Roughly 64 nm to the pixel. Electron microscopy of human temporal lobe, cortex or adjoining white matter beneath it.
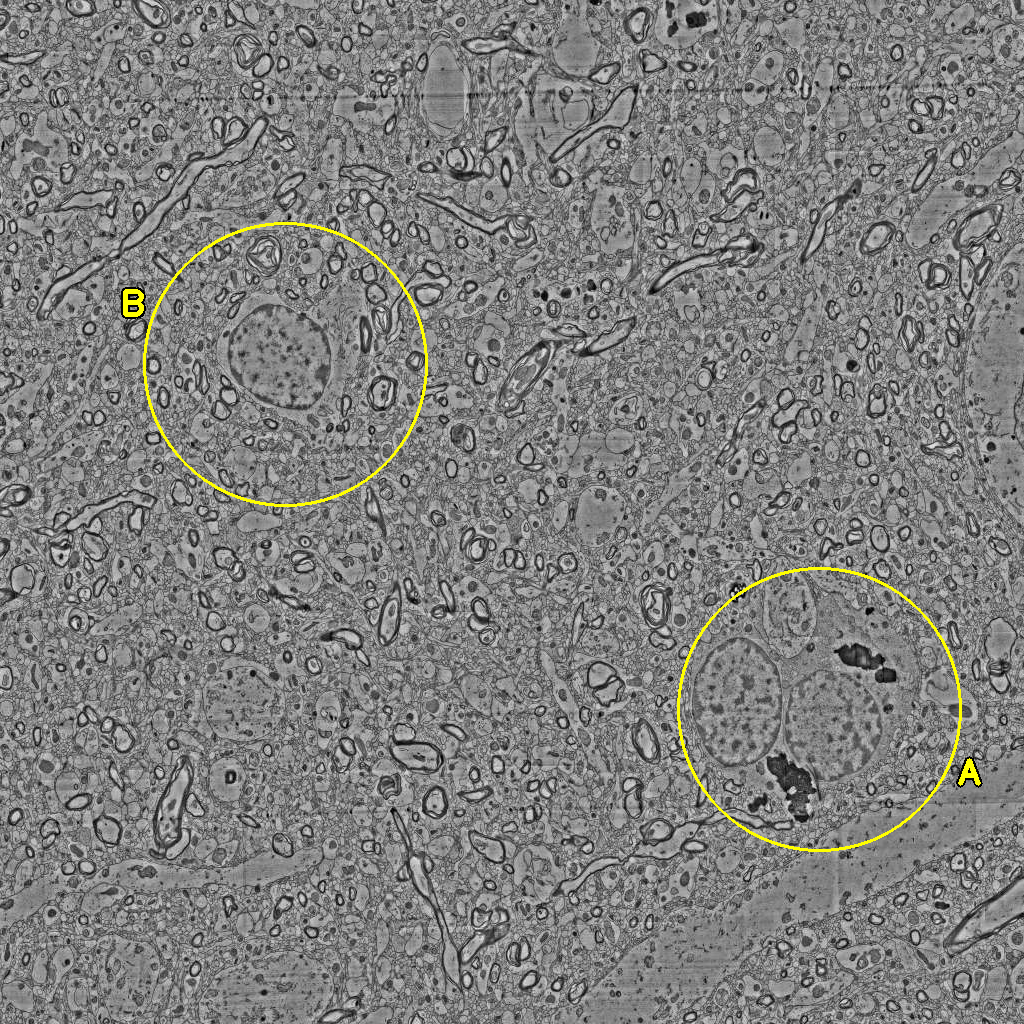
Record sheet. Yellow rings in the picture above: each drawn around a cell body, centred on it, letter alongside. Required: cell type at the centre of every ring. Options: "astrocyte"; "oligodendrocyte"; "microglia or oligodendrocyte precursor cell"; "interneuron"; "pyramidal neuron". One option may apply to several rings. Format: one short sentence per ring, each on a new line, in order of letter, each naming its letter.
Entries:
Ring A contains an oligodendrocyte at the centre.
Ring B contains a microglial cell or oligodendrocyte precursor cell at the centre.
